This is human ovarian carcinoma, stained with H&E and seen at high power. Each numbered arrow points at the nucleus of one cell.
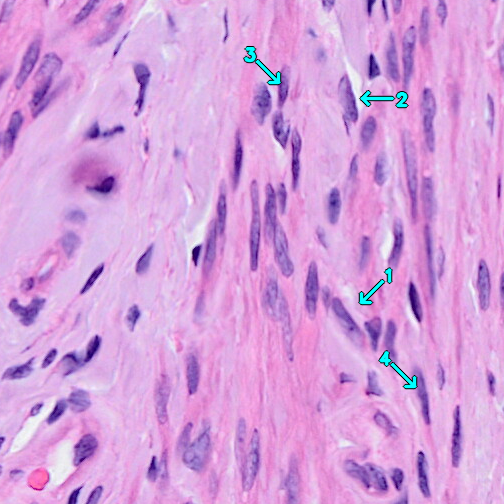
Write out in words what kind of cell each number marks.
Cells 1, 3 and 4 are smooth muscle cells. Cell 2 is a fibroblast.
